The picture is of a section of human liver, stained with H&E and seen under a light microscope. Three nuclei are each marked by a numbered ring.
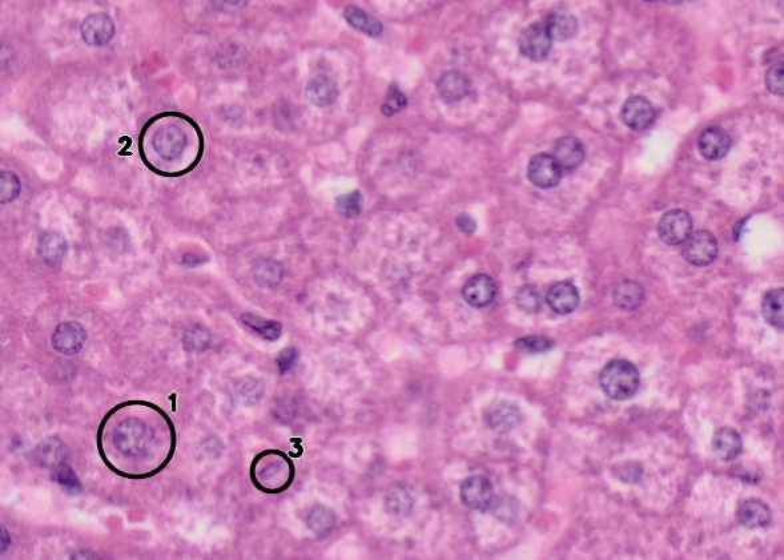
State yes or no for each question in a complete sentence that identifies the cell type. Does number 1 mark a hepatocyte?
Yes, in this section the cell numbered 1 is a hepatocyte.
